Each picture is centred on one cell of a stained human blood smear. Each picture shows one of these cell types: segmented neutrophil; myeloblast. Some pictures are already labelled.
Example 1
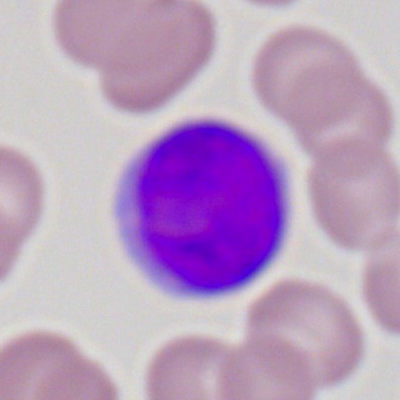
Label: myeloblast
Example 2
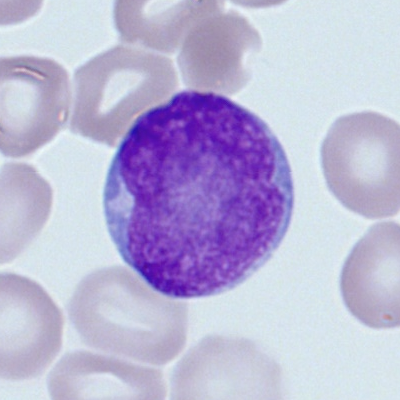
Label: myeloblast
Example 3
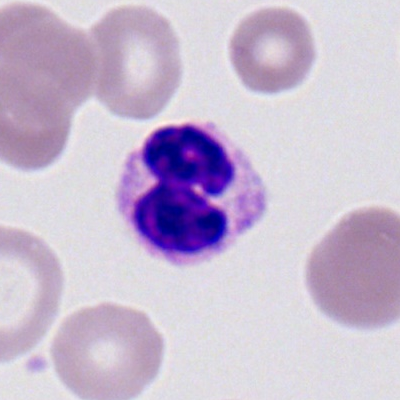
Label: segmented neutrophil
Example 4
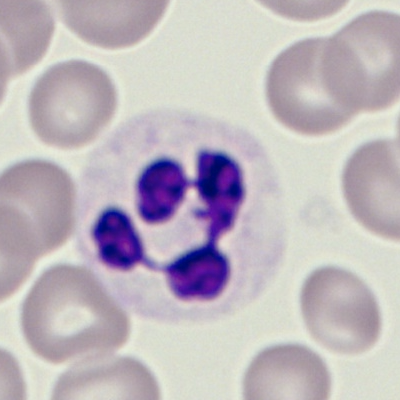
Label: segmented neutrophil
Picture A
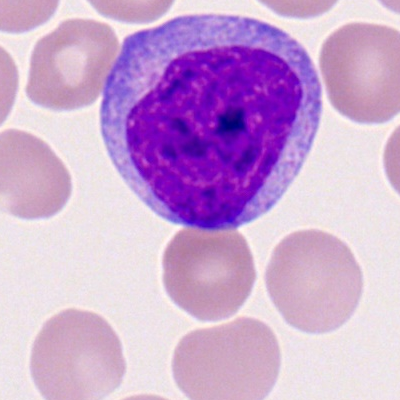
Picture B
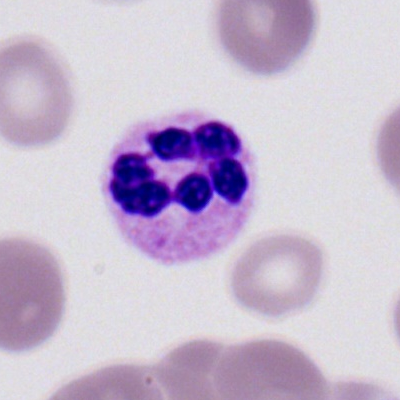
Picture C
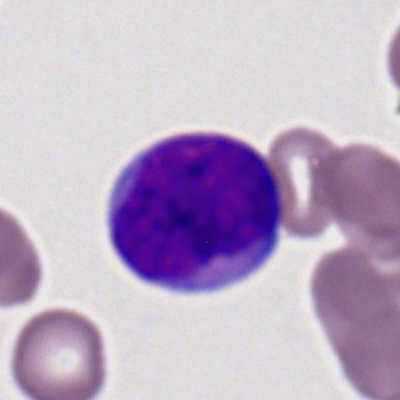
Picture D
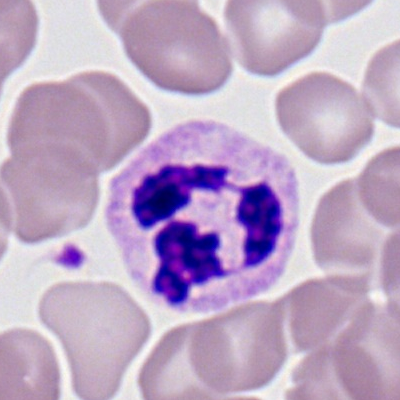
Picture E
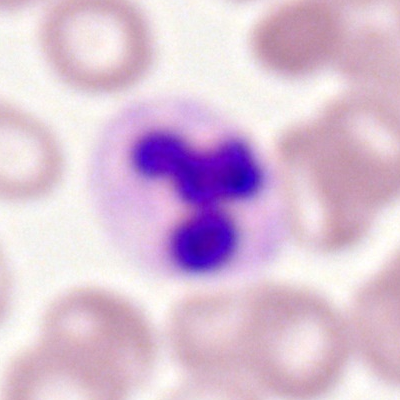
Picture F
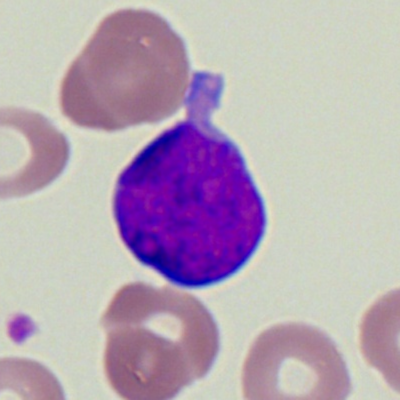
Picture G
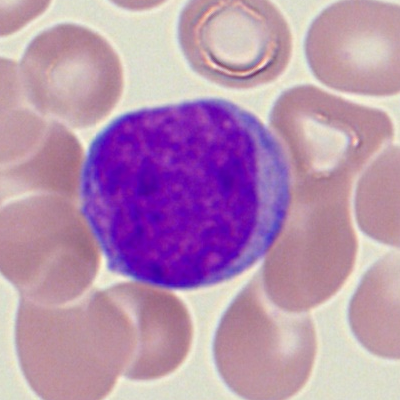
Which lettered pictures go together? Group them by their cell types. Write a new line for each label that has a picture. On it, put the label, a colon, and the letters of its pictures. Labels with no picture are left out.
segmented neutrophil: B, D, E
myeloblast: A, C, F, G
